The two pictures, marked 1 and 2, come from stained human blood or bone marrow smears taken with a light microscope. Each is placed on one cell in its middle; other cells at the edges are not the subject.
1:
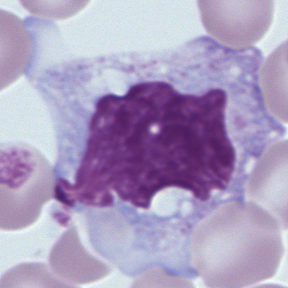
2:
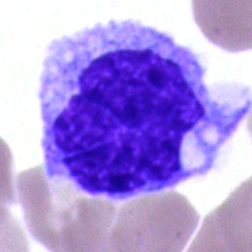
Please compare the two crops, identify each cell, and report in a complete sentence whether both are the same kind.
Yes, monocytes are at the centre in both crops.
